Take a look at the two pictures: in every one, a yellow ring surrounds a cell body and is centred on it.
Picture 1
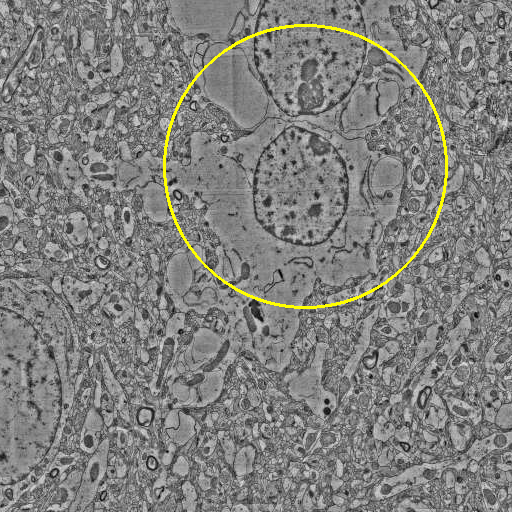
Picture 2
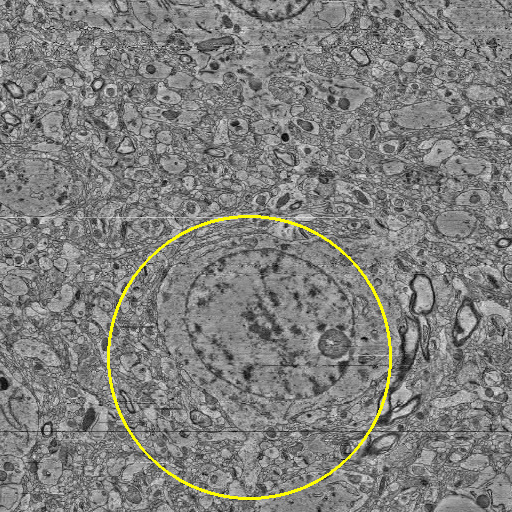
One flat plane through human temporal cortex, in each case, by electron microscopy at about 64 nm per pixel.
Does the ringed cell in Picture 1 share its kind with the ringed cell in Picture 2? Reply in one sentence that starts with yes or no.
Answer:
No, the two centred cells, one per picture, are of two kinds.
